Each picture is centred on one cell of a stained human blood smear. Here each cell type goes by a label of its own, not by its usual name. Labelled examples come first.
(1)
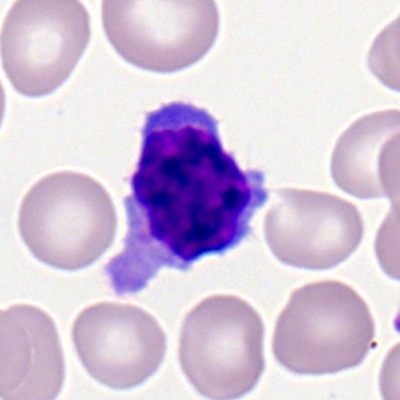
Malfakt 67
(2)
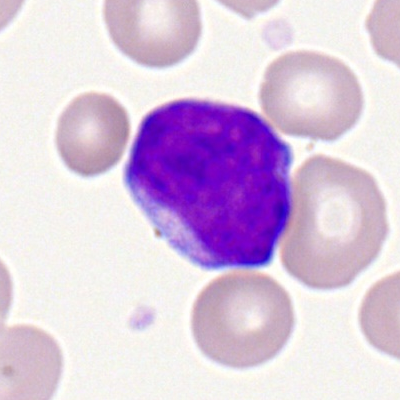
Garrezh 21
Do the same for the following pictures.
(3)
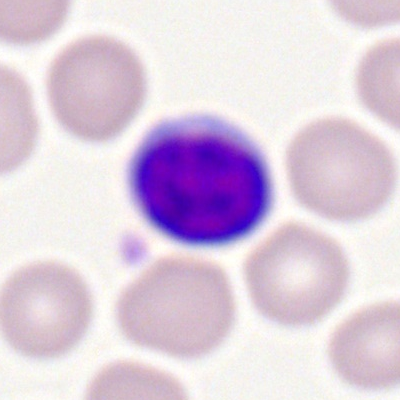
Malfakt 67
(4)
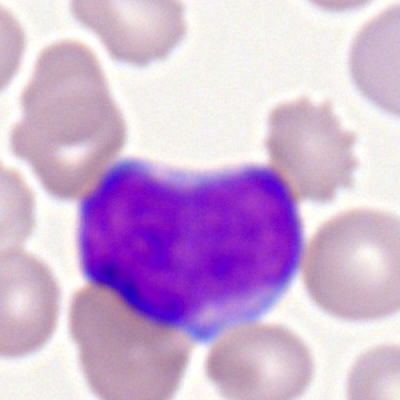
Garrezh 21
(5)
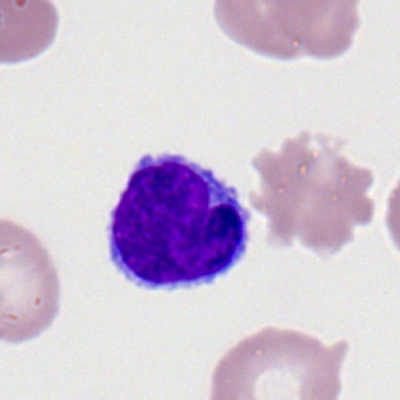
Malfakt 67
